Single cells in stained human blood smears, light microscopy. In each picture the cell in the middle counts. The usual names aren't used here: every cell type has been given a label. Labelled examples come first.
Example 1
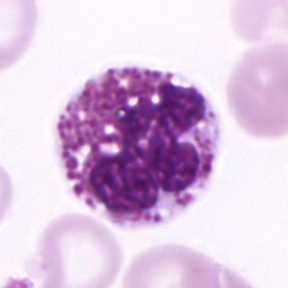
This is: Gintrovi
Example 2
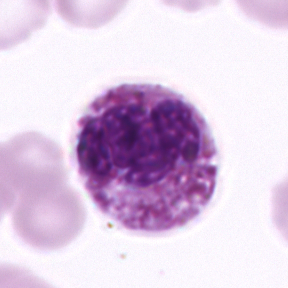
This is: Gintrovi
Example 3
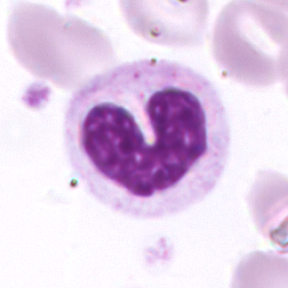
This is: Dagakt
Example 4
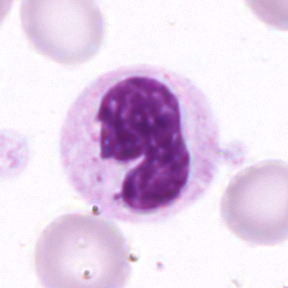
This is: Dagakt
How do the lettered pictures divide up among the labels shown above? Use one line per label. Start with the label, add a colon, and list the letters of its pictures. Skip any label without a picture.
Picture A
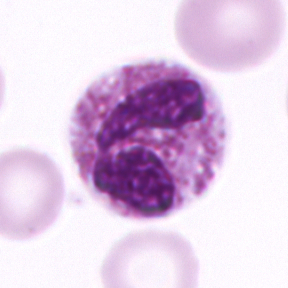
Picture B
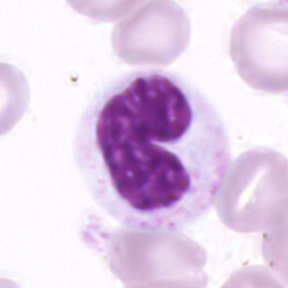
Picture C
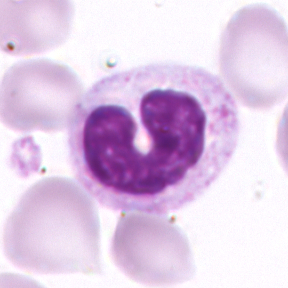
Gintrovi: A
Dagakt: B, C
